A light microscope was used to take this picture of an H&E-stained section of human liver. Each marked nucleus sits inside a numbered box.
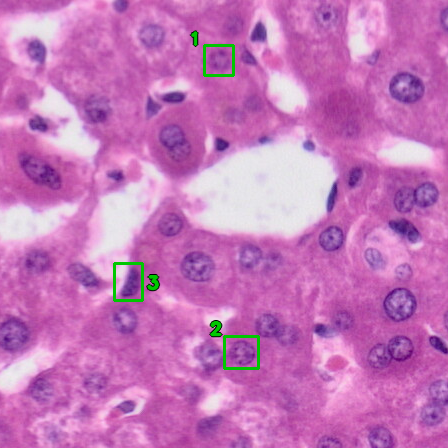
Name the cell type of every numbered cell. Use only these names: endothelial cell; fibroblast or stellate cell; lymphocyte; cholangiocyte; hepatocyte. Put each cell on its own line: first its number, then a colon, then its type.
1: hepatocyte
2: hepatocyte
3: fibroblast or stellate cell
